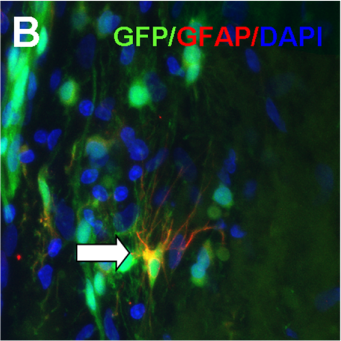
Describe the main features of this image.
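This fluorescence image of tissue shows a star-shaped glial cell with a bright yellow-orange body from which many thin red processes radiate in several directions. Around it lie numerous blue oval nuclei, some inside round or elongated green cell bodies. The green cells nearby are mostly rounded or spindle-shaped and lack the branching red processes. The background between the cells is dim green.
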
